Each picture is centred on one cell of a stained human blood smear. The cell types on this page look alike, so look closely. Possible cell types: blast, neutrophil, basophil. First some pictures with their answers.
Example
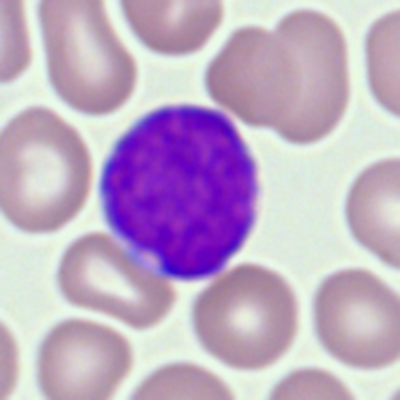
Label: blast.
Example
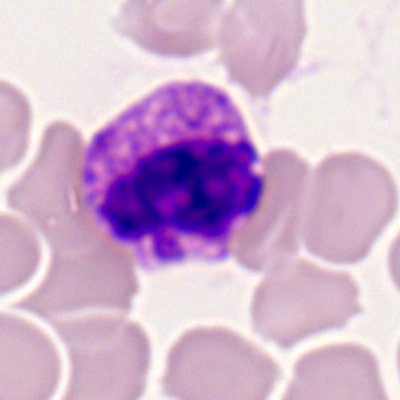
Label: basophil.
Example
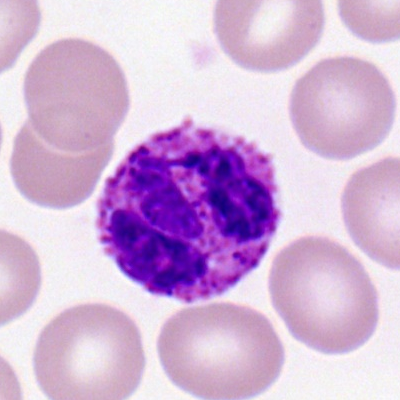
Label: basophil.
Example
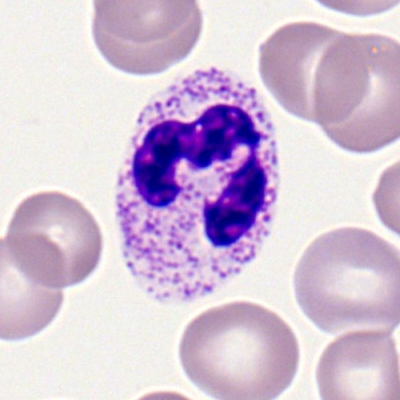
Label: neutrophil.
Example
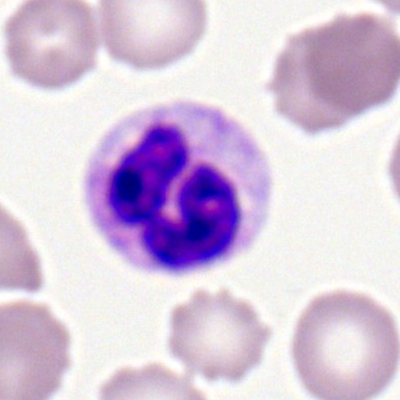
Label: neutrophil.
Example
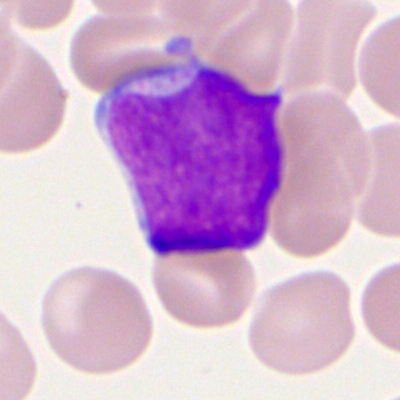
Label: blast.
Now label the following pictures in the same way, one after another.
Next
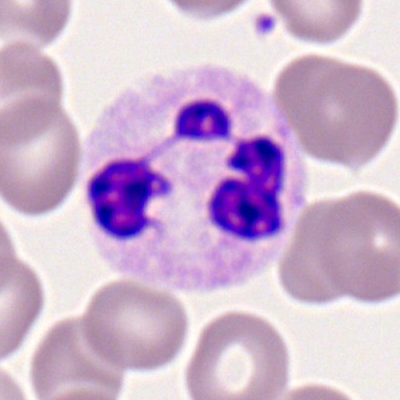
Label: neutrophil.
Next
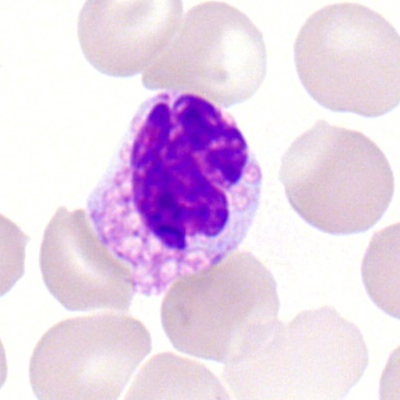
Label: basophil.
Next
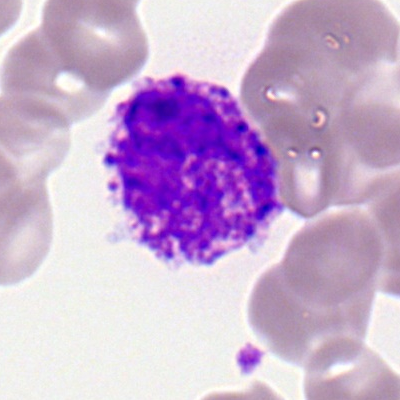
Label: basophil.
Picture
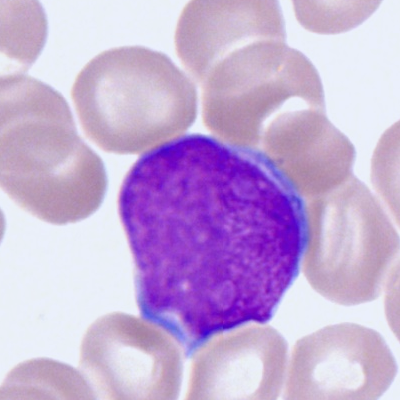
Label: blast.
